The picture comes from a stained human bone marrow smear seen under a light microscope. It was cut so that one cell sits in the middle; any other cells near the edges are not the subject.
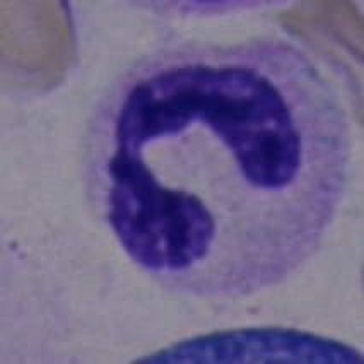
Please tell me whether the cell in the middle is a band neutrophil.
no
